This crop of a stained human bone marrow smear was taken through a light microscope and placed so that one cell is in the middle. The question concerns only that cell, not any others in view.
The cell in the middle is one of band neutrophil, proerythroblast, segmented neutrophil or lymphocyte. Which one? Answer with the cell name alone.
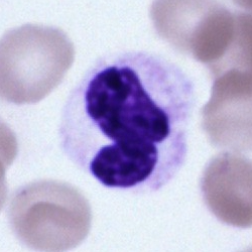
segmented neutrophil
